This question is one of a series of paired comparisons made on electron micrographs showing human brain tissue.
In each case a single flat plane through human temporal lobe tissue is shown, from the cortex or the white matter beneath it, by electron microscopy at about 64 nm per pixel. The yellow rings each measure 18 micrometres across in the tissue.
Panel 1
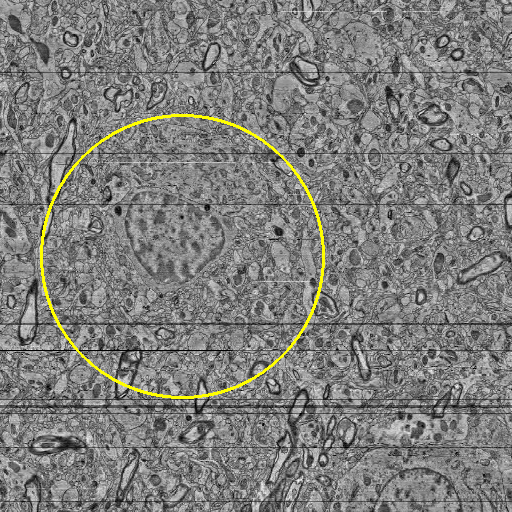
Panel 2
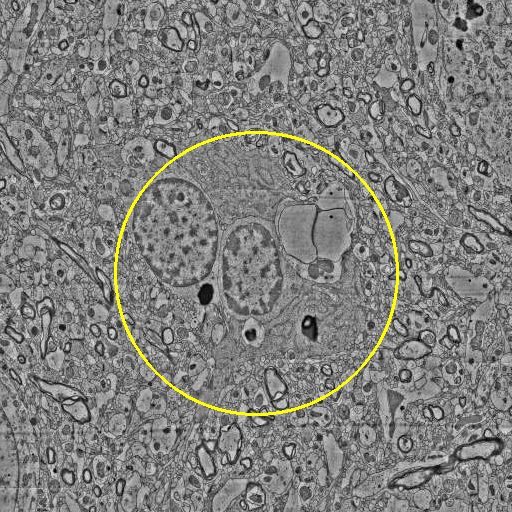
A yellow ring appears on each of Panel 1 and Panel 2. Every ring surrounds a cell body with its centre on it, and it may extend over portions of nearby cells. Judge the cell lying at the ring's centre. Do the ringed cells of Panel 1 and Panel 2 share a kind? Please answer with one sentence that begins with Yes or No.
Yes, the ring-centre cell in Panel 1 and the one in Panel 2 are of one kind.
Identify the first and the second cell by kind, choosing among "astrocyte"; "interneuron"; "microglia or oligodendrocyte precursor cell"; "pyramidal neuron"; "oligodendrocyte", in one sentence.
The first and the second cell are each an oligodendrocyte.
